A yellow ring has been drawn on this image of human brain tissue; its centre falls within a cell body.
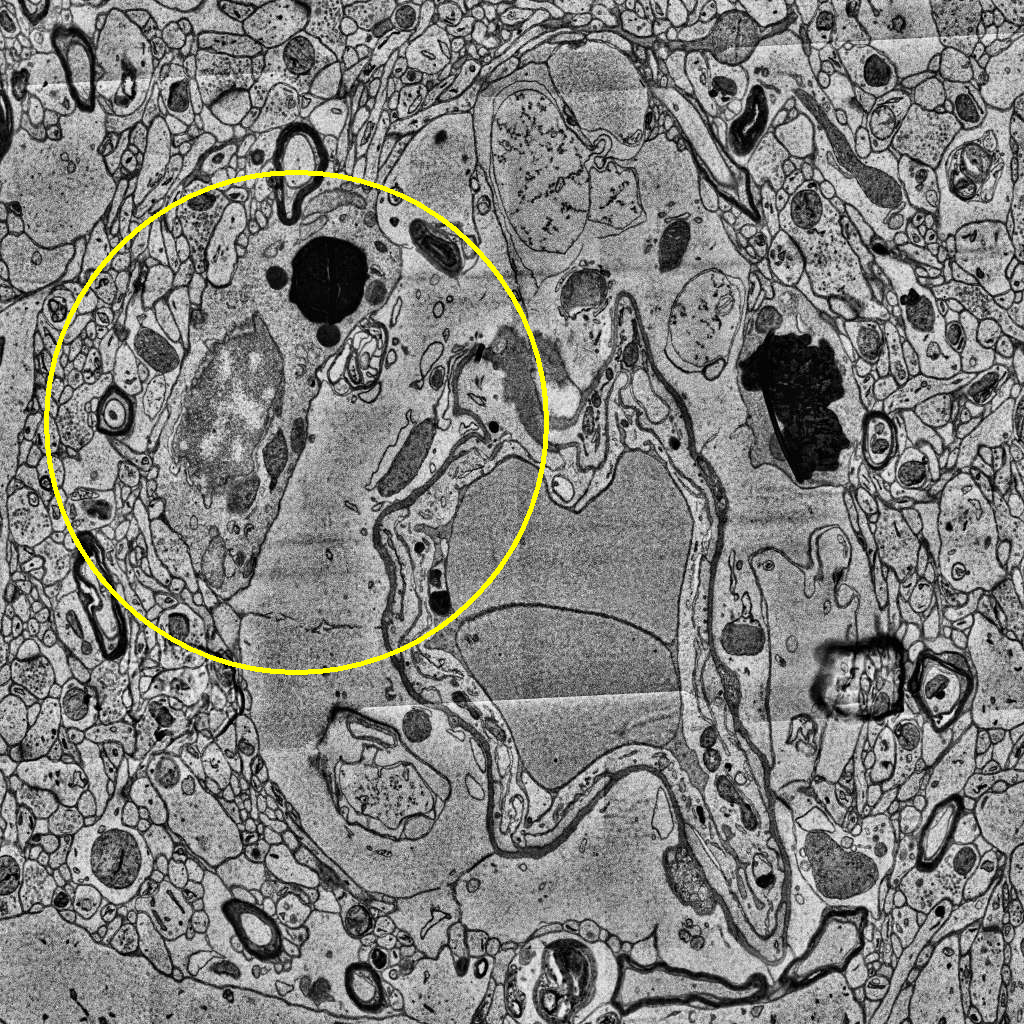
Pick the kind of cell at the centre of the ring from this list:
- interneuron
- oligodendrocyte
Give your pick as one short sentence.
The centre of the ring holds an oligodendrocyte.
